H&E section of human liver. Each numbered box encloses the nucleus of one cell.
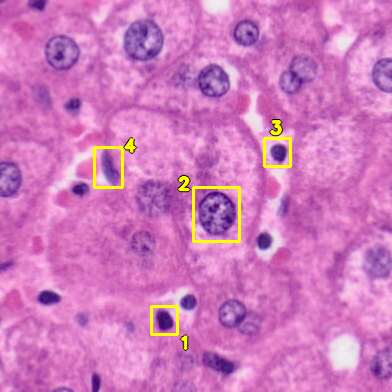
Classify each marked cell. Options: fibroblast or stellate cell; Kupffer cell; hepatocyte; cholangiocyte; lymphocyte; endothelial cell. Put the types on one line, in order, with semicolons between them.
lymphocyte; hepatocyte; lymphocyte; endothelial cell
